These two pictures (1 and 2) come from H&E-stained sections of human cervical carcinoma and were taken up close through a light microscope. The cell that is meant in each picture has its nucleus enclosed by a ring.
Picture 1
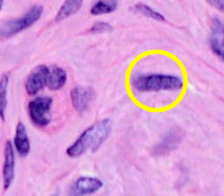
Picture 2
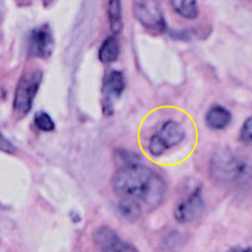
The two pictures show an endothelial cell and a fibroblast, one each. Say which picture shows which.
1: fibroblast
2: endothelial cell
